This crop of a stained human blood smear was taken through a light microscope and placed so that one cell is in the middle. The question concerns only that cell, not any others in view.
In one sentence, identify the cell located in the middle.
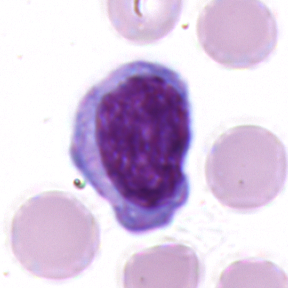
The center cell of this crop is a plasma cell.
